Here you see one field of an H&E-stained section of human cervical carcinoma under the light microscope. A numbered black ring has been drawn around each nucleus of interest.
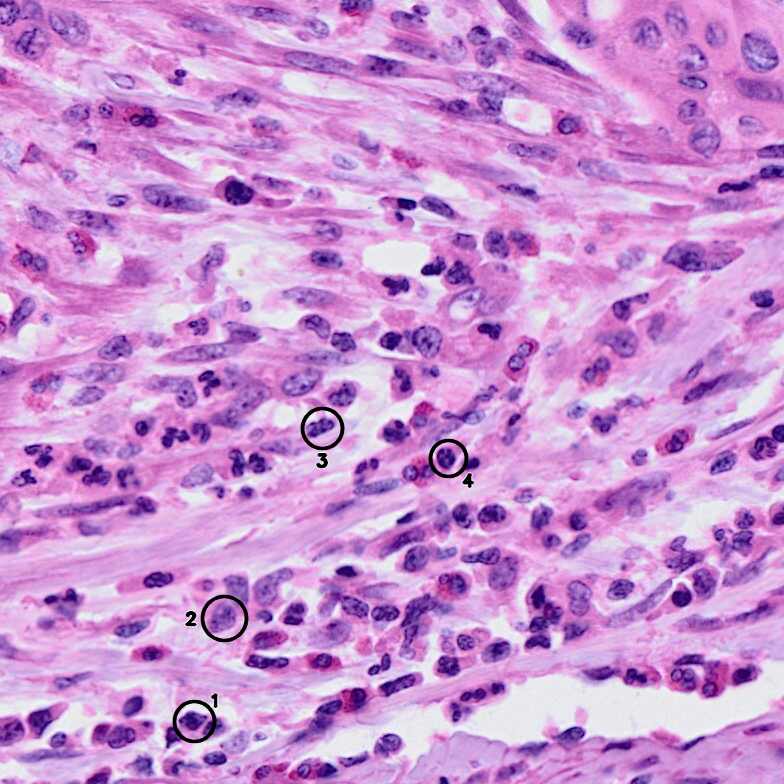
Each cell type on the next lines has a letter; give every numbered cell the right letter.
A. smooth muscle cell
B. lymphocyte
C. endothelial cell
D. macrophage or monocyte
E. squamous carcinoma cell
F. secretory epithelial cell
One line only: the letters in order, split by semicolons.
B; D; B; B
